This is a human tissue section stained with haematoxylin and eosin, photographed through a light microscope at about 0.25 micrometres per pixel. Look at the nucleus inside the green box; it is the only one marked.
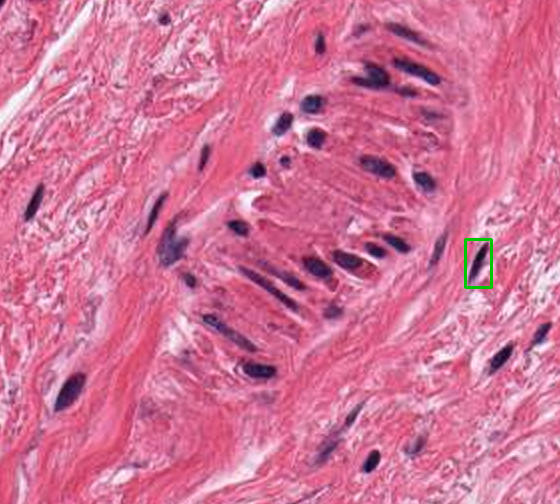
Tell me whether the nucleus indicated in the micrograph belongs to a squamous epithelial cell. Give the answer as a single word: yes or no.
no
